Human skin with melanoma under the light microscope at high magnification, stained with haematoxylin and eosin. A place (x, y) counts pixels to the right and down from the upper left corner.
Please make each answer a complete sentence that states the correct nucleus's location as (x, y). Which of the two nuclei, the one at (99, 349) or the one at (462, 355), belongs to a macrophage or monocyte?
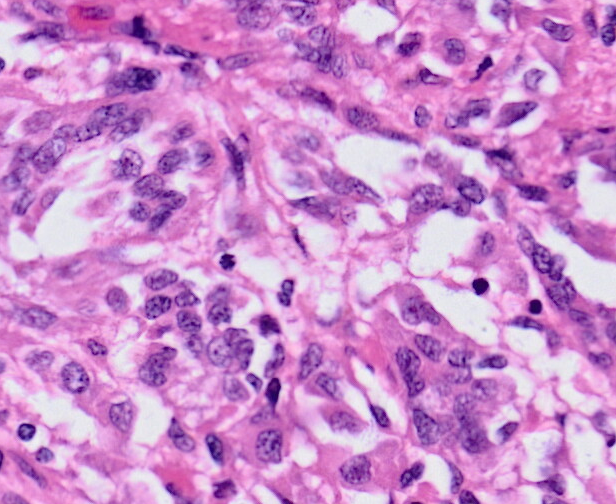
The nucleus at position (99, 349) belongs to a macrophage or monocyte.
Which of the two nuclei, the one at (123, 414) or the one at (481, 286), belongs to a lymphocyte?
As for which of the two, the nucleus at (481, 286) belongs to a lymphocyte.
